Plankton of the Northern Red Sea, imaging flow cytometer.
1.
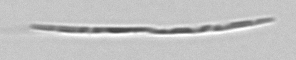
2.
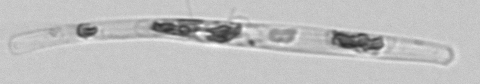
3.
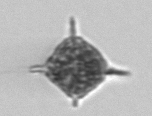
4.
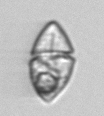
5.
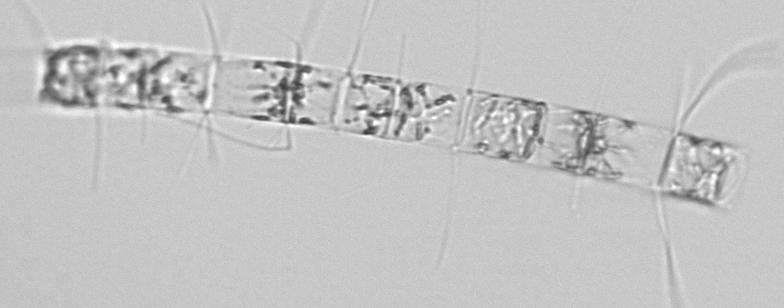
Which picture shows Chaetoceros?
Picture 5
